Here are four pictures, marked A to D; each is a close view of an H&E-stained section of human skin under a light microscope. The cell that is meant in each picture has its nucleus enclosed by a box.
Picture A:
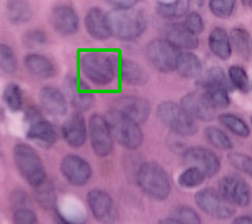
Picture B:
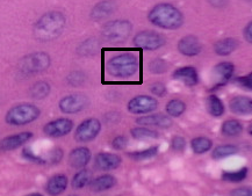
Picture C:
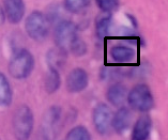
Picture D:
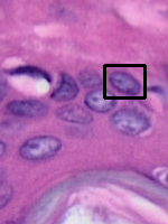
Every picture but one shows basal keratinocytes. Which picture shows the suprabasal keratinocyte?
B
